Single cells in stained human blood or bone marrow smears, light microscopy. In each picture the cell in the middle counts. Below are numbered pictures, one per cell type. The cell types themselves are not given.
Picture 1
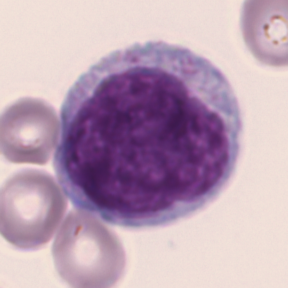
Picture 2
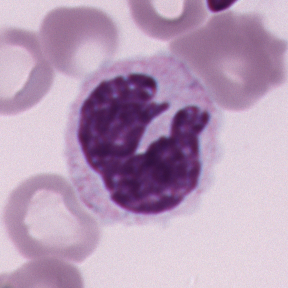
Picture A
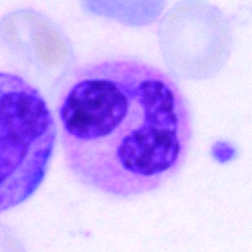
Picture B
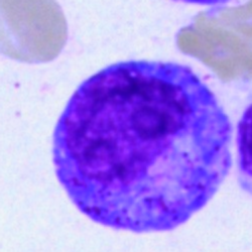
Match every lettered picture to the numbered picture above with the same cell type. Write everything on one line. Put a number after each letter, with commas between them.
A 2, B 1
